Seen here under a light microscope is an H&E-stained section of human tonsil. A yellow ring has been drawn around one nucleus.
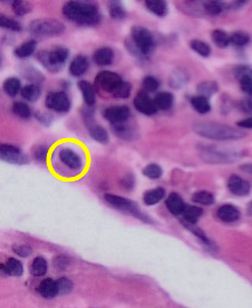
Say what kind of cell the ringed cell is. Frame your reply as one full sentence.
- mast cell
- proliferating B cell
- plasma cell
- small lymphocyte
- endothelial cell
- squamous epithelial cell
In the stained section, the ringed cell is a mast cell.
